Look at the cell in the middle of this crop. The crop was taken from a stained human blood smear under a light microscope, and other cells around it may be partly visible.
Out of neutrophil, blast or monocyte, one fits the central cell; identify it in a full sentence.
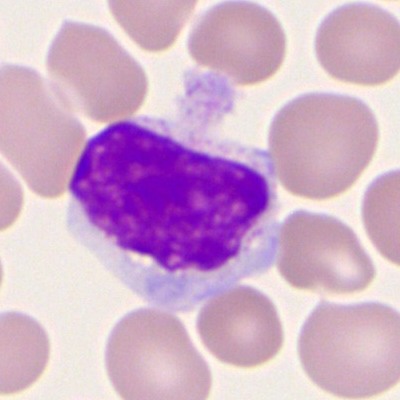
Standing at the centre of this crop is a monocyte.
